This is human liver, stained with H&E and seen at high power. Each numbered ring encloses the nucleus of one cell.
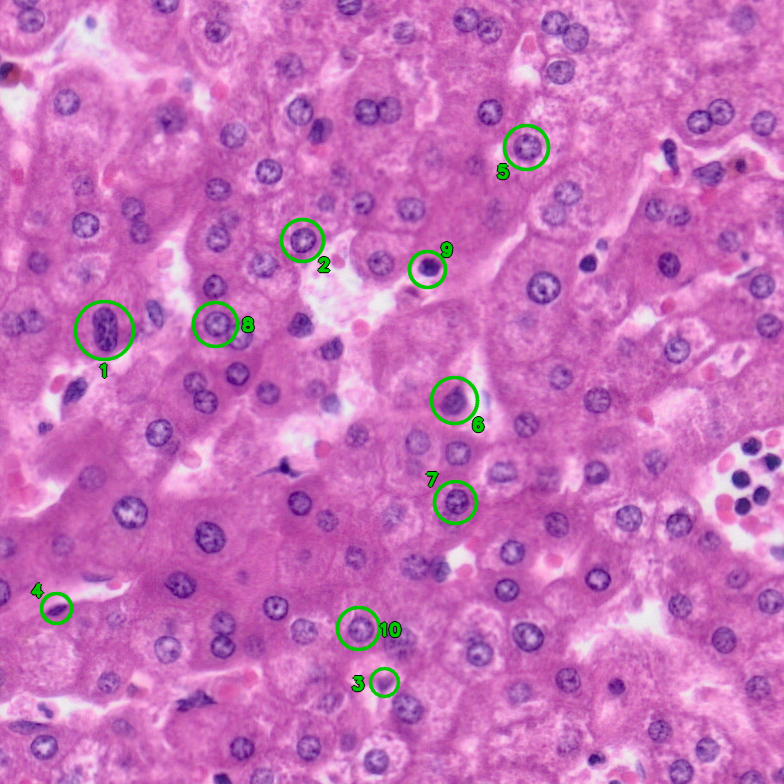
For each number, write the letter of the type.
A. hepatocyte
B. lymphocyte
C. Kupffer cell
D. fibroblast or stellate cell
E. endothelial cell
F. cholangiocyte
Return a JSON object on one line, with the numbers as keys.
{"1": "A", "2": "A", "3": "C", "4": "D", "5": "A", "6": "C", "7": "A", "8": "A", "9": "B", "10": "A"}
